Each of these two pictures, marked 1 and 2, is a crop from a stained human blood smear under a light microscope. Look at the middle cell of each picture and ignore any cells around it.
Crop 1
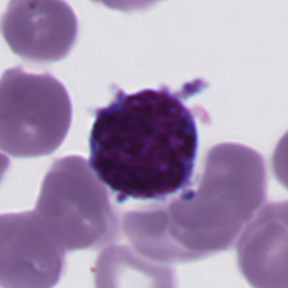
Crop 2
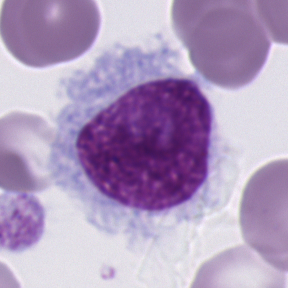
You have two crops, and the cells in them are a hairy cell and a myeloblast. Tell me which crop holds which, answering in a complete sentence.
The cell in crop 1 is a myeloblast; the cell in crop 2 is a hairy cell.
